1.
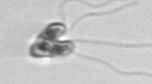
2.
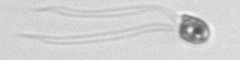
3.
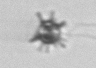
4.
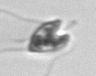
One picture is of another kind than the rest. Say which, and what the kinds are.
Picture 3 shows Rhabdosphaera; the rest show Pyramimonas.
